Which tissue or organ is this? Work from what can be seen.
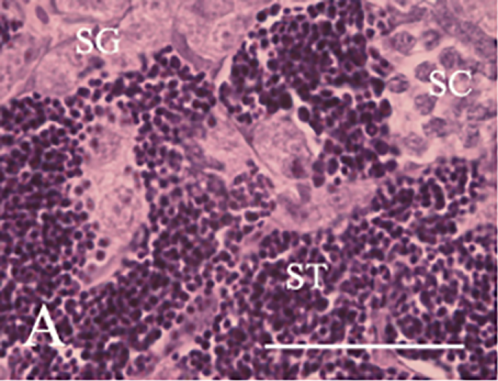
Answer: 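Dense masses of very small, dark purple round cells fill most of the field. Clusters of larger pale cells with round nuclei lie between the dark masses.
Answer: testis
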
